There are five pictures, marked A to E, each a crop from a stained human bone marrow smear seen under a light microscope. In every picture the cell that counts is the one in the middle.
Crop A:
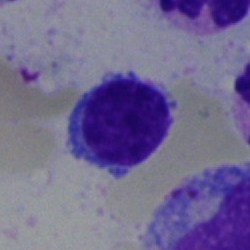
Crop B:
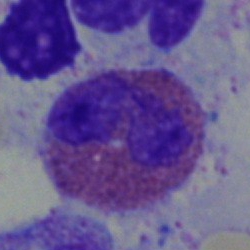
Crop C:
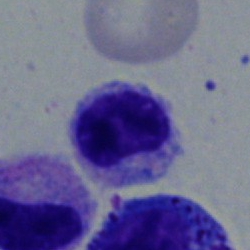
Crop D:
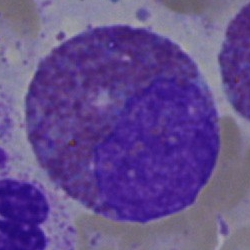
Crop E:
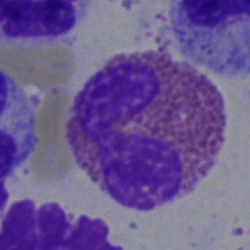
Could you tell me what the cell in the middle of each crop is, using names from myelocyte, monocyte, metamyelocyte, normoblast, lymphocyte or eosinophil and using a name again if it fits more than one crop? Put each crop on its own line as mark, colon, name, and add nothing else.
A: lymphocyte
B: eosinophil
C: metamyelocyte
D: eosinophil
E: eosinophil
